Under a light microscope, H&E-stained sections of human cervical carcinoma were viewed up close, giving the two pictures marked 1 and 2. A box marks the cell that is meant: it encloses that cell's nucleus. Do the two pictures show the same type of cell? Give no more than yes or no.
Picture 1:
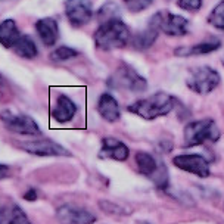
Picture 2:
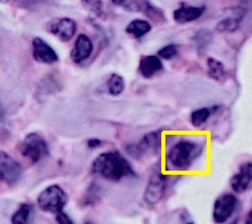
yes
